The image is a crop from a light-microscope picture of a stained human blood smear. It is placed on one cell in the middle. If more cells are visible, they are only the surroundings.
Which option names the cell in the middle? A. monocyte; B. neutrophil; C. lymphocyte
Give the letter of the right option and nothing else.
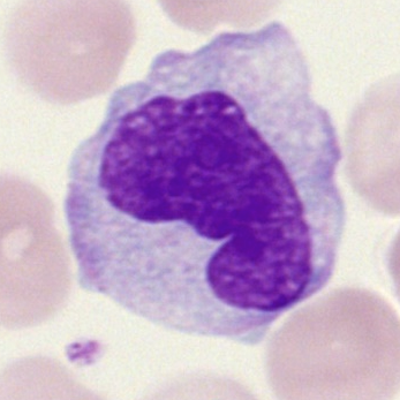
A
